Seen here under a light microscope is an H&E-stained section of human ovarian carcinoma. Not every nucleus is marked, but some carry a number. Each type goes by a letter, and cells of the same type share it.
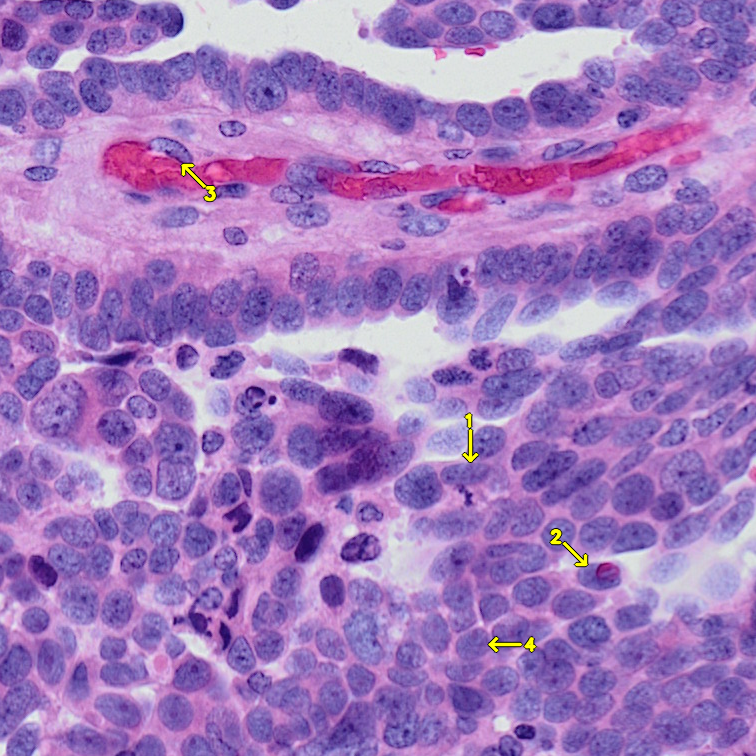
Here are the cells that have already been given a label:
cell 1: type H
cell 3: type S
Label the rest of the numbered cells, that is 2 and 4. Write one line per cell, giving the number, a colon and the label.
2: type H
4: type H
